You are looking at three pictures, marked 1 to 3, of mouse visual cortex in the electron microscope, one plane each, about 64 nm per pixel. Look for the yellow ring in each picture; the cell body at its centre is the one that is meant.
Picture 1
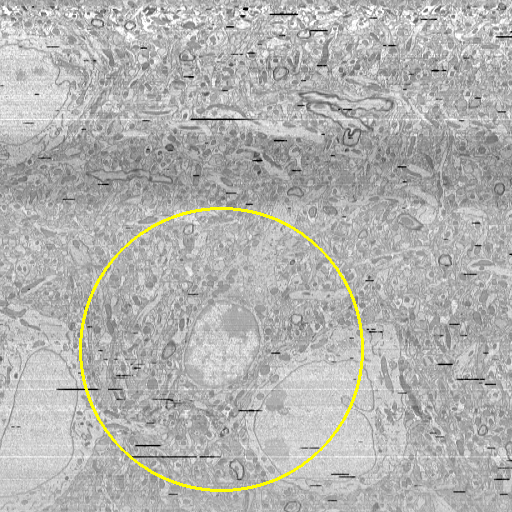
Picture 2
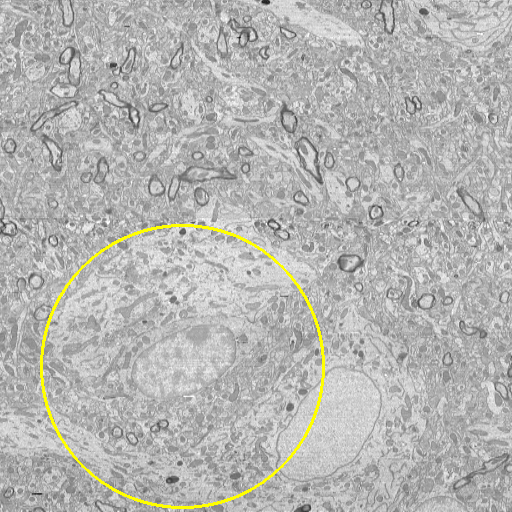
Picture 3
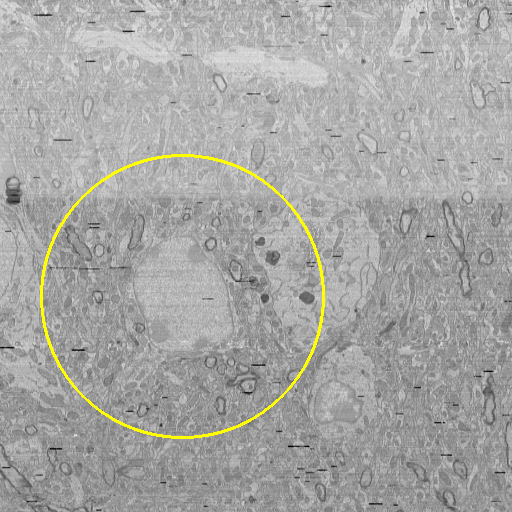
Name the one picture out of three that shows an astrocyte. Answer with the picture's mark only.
3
